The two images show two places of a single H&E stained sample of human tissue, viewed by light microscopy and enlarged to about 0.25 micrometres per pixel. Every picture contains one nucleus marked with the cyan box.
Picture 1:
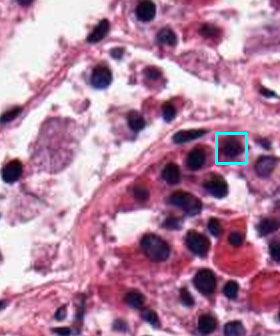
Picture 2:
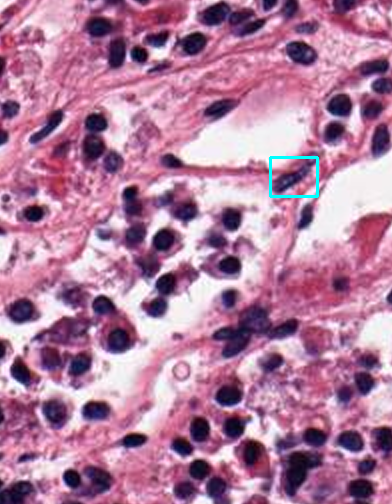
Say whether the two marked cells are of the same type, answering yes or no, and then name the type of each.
No, the first is an anterior pituitary cell and the second an endothelial cell.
